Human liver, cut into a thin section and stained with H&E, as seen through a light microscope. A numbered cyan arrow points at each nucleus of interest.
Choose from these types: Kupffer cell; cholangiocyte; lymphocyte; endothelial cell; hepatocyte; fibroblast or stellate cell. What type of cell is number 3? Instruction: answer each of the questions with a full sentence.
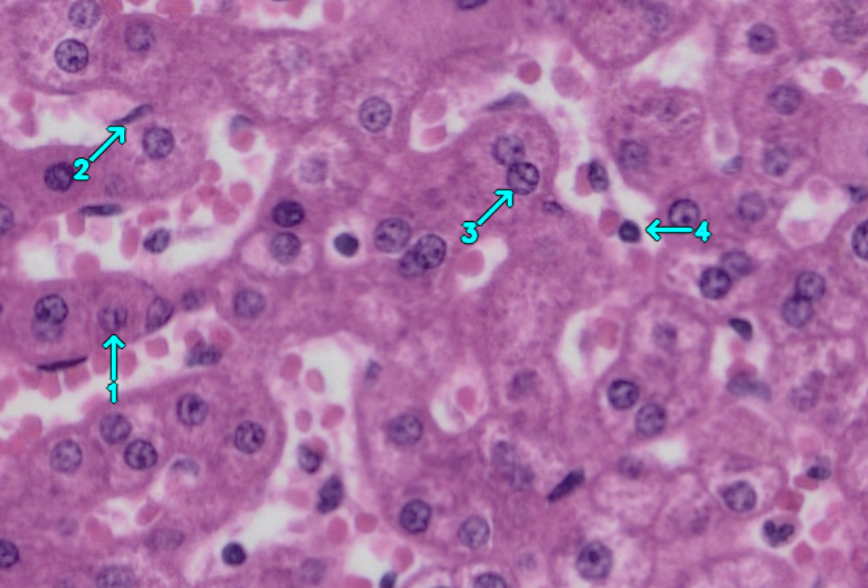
The cell tagged with 3 in this tissue section is a hepatocyte.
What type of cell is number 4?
That cell with number 4 is a lymphocyte.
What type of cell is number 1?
The cell numbered 1 represents a hepatocyte.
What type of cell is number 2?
Cell 2, as marked in the section, is an endothelial cell.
